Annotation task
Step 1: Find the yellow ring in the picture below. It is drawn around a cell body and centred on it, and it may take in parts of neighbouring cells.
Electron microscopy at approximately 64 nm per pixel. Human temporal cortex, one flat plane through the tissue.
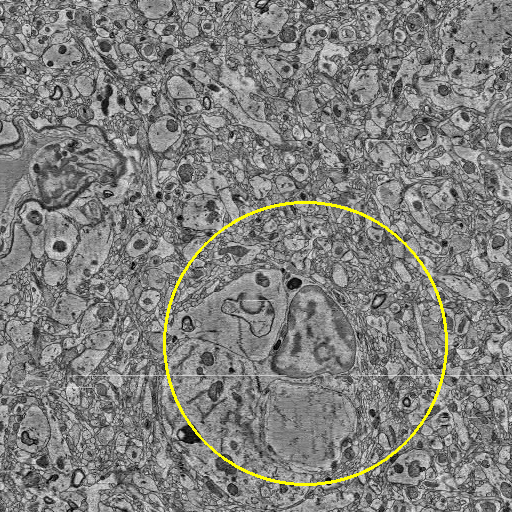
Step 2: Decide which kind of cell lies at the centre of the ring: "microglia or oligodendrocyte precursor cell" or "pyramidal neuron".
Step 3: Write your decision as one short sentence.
The kind of cell at the ring's centre is a microglial cell or oligodendrocyte precursor cell.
